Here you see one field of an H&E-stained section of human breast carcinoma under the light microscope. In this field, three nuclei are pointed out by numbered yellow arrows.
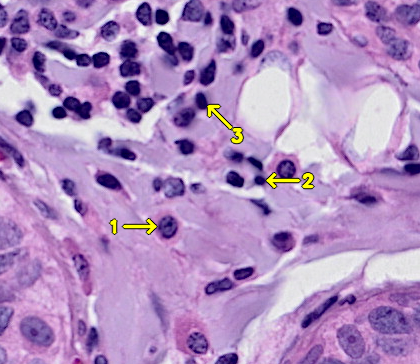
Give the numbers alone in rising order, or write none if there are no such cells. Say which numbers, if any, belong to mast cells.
1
